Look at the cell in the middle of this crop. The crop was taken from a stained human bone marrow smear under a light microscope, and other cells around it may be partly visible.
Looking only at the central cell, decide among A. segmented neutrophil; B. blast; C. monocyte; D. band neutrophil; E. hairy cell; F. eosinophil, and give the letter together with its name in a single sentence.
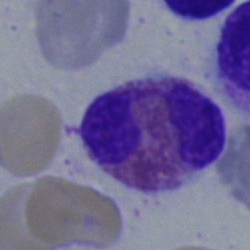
The cell right in the middle is an eosinophil, so option F is the one.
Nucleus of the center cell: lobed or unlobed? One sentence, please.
This cell has a nucleus made up of two or more segments.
